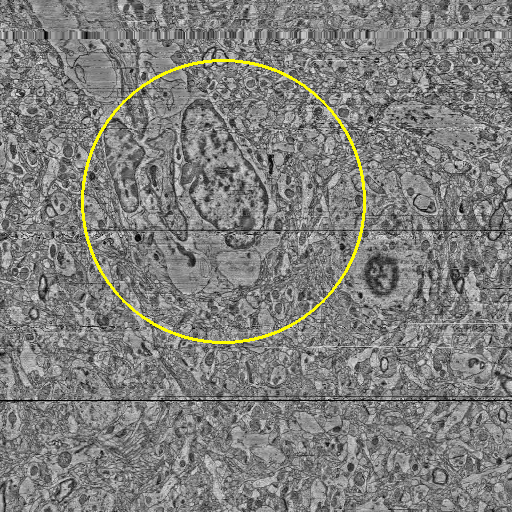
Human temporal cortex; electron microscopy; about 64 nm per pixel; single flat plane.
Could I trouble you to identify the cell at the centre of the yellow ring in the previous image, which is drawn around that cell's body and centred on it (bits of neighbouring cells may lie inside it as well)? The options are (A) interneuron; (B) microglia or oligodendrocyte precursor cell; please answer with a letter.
B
